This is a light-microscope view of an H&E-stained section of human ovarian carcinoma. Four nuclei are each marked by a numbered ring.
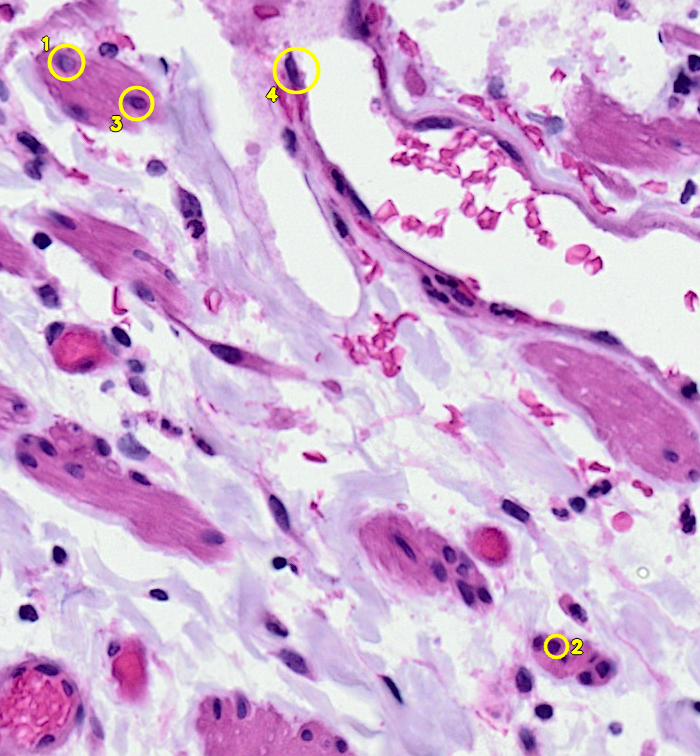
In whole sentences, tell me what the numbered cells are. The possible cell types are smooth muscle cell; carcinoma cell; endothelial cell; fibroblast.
Cells 1, 2 and 3 are smooth muscle cells. Cell 4 is an endothelial cell.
